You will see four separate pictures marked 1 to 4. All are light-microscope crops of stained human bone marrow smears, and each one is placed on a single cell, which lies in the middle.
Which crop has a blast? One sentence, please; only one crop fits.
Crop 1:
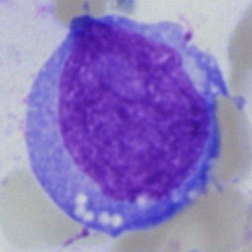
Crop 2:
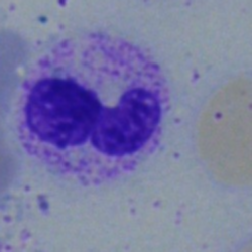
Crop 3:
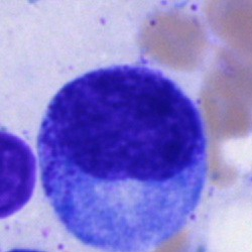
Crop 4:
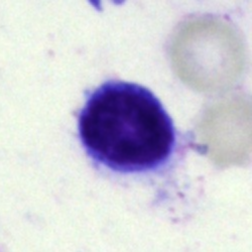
Crop 1 is the crop that displays a blast.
